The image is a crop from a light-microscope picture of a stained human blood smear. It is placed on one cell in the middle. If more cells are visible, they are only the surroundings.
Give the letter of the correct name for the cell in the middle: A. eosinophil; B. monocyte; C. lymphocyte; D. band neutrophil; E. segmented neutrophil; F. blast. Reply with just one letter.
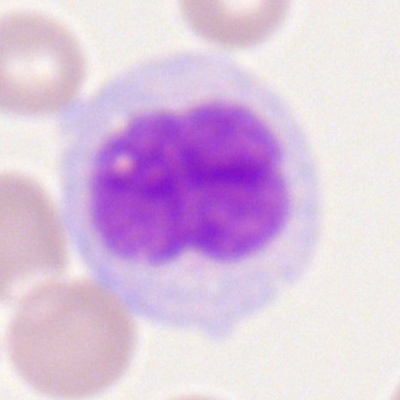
B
